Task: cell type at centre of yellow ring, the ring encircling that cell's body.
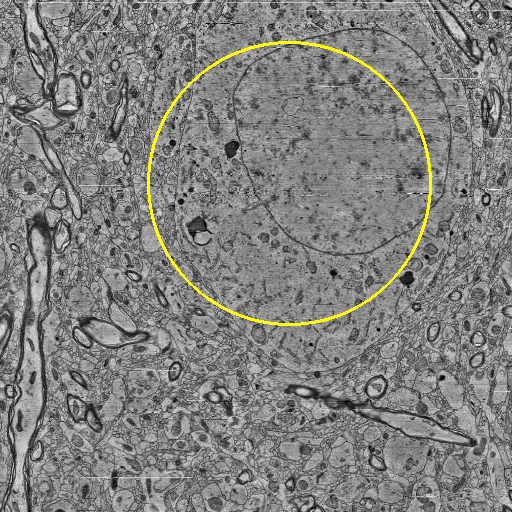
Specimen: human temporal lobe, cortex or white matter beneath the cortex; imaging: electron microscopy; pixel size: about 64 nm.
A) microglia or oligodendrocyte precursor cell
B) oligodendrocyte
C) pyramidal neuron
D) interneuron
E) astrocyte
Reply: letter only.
C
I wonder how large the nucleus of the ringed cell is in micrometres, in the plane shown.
Roughly 15 micrometers across, in this plane.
